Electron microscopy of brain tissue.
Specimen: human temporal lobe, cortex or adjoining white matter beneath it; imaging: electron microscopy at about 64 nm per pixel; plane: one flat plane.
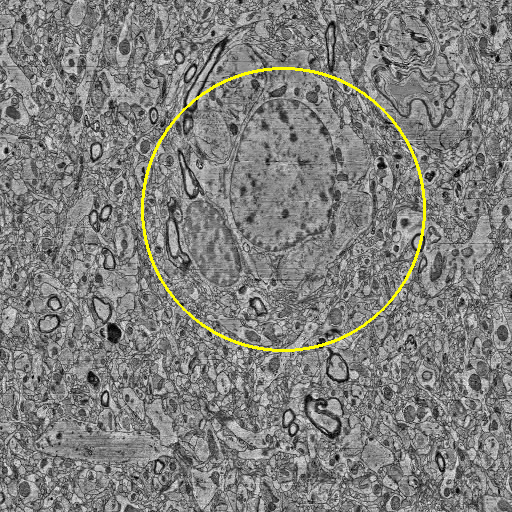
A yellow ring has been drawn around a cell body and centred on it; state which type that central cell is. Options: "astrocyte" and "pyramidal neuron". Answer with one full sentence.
The cell at the middle of the yellow ring is an astrocyte in this picture.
